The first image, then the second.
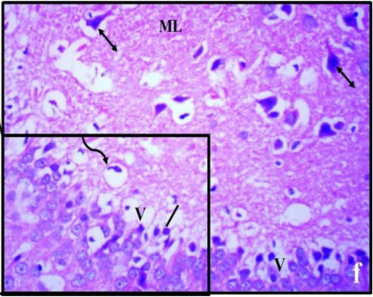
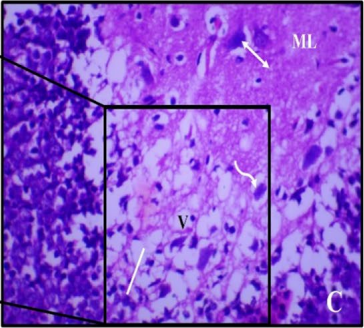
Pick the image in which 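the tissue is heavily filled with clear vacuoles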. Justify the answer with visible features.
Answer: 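The second image. First image: clear spaces are present but scattered among pink neuropil. Second image: clear empty spaces crowd the tissue, giving a foamy look.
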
